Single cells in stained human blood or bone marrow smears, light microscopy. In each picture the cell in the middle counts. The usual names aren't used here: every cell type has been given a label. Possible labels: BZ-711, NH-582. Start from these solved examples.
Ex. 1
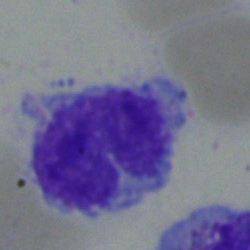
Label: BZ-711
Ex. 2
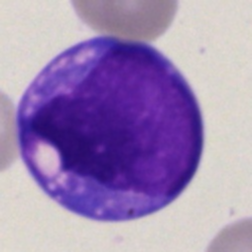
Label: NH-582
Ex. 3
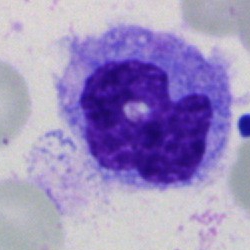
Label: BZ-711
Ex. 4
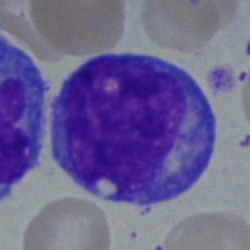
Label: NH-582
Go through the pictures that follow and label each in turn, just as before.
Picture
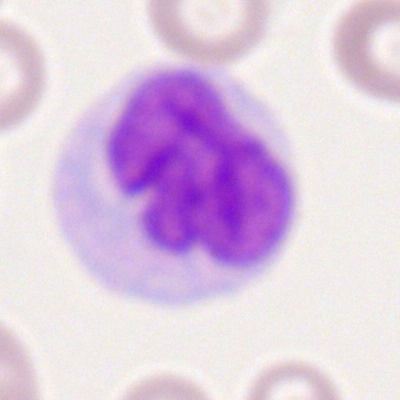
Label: BZ-711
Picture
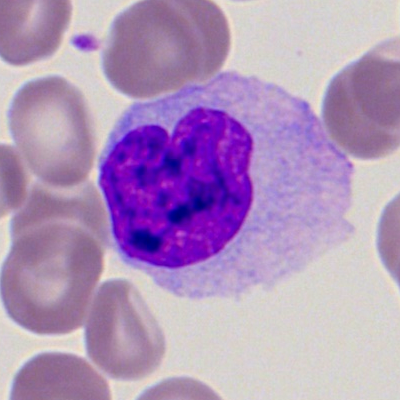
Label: BZ-711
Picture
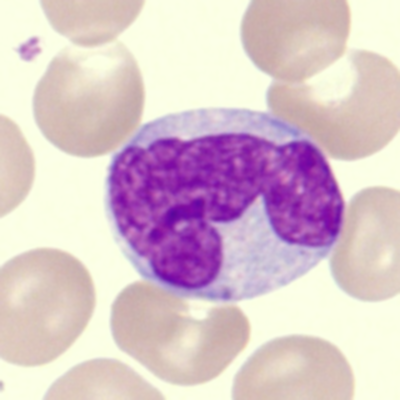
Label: BZ-711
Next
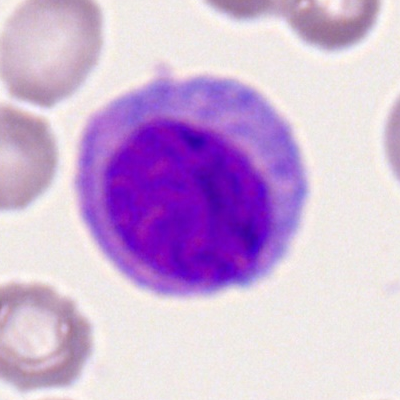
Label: BZ-711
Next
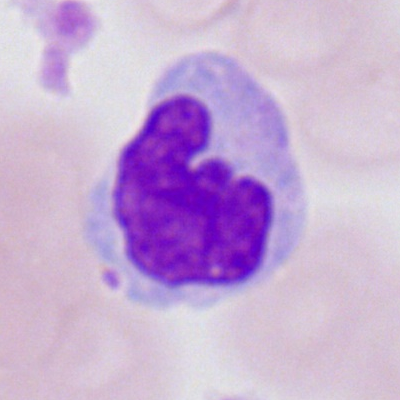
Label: BZ-711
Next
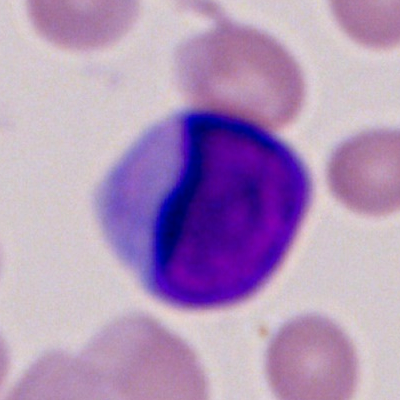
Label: NH-582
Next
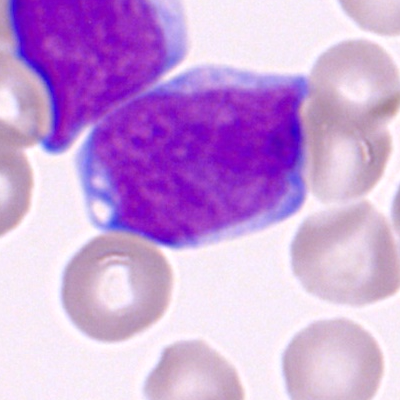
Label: NH-582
